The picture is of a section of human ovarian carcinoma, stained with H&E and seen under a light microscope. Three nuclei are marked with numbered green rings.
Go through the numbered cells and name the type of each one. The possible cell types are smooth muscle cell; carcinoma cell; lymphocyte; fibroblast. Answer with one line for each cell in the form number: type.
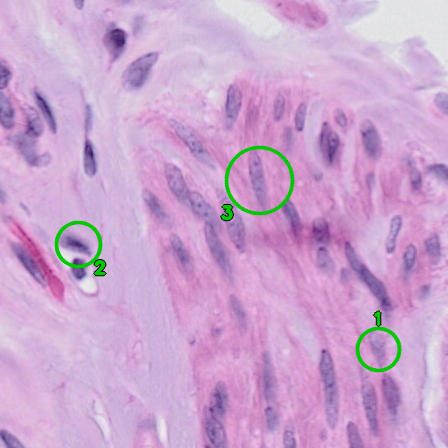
1: smooth muscle cell
2: fibroblast
3: smooth muscle cell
